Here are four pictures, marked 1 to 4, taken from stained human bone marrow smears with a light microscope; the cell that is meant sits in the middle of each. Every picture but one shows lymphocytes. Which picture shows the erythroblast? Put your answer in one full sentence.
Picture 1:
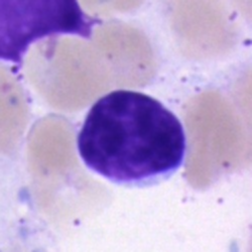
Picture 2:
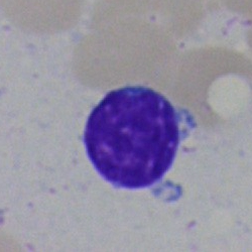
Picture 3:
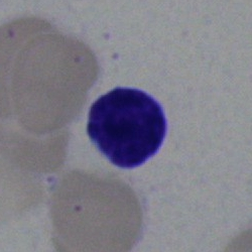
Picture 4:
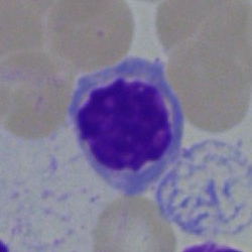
Picture 4 is the one that shows the erythroblast.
